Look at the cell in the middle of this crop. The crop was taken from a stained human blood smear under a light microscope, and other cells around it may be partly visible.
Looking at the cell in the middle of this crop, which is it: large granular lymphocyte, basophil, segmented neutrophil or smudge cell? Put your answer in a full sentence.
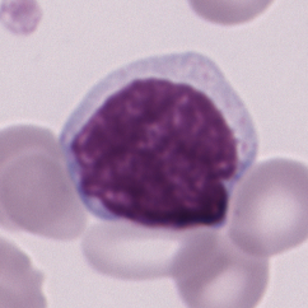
In the middle of this smear crop is a large granular lymphocyte.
